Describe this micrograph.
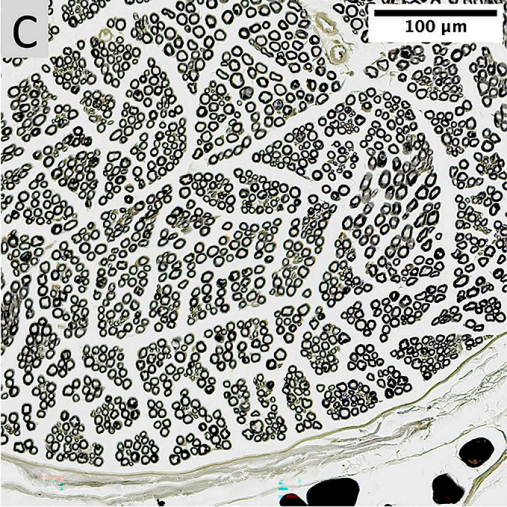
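This cross section of a nerve shows many myelinated fibers cut transversely, each seen as a thick black ring around a pale round centre. The fibers vary in size and lie in tight clusters separated by narrow pale spaces of connective tissue. Along the lower edge a thin layered sheath bounds the nerve. Below it, outside the nerve, lie a few large solid black bodies. Small vessels appear at the upper margin between fiber groups.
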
